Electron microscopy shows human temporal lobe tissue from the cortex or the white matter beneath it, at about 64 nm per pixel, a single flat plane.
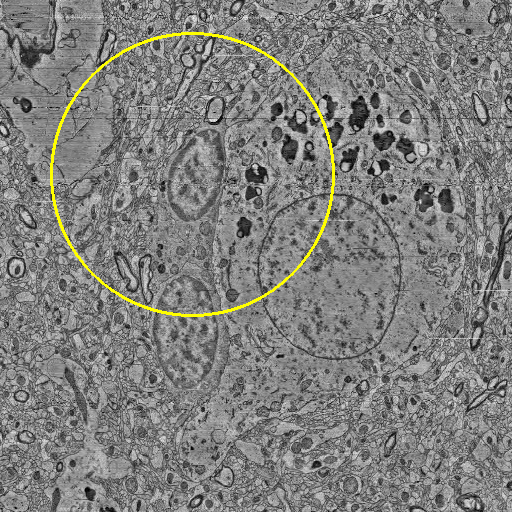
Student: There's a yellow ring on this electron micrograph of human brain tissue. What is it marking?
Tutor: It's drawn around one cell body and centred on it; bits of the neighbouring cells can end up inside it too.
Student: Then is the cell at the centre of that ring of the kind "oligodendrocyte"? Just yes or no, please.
yes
